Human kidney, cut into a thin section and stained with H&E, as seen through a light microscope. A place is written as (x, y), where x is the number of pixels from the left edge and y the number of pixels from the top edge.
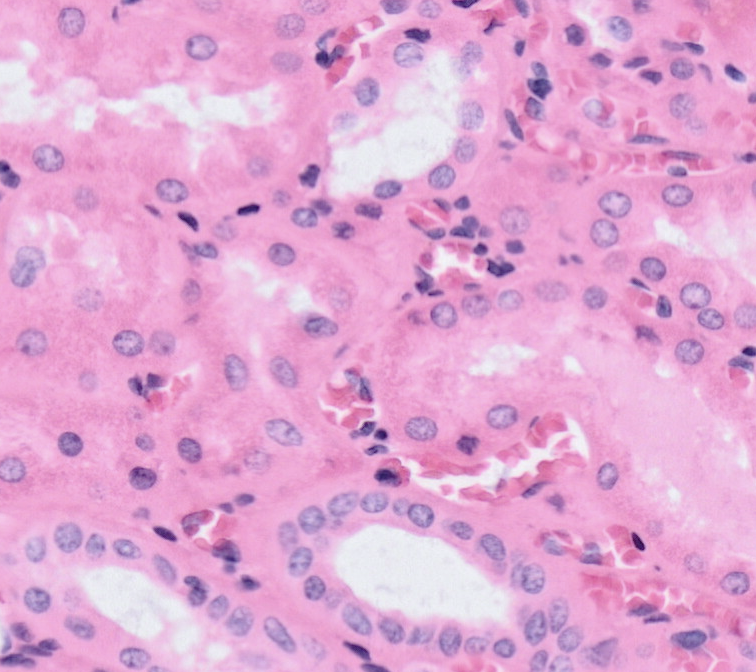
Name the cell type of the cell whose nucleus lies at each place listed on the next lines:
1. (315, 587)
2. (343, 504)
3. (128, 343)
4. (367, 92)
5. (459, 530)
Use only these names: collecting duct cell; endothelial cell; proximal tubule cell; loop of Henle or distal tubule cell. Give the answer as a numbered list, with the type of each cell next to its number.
1. collecting duct cell
2. collecting duct cell
3. proximal tubule cell
4. loop of Henle or distal tubule cell
5. collecting duct cell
